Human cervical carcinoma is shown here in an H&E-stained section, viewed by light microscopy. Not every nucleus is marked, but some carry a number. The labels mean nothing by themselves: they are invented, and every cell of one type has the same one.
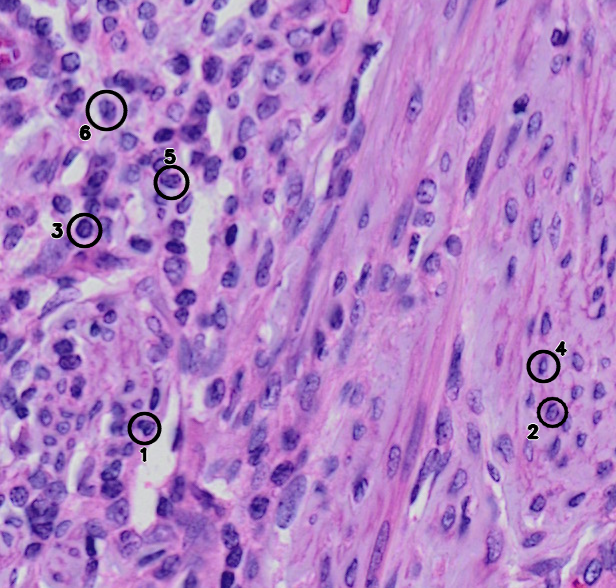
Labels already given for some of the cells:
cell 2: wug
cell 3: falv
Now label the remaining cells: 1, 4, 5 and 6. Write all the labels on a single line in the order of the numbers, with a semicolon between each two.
falv; wug; falv; falv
